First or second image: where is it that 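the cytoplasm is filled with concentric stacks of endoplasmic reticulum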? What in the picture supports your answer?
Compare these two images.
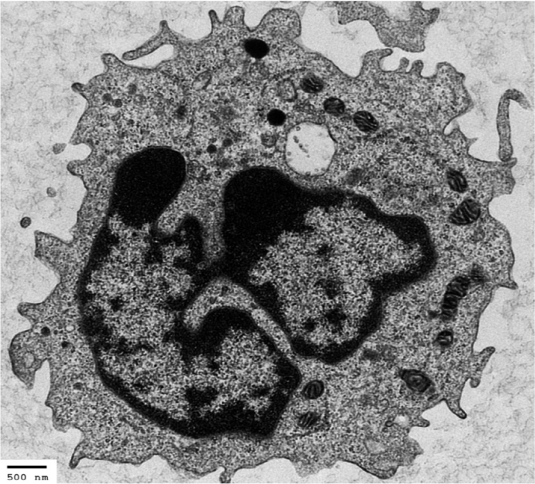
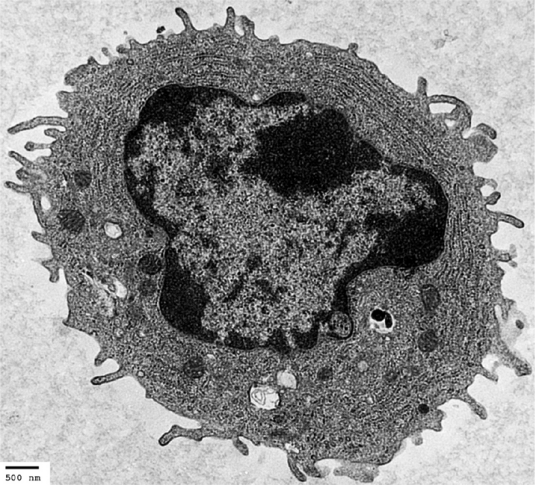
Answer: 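First image: cytoplasm granular with scattered mitochondria and no membrane stacks. Second image: many parallel membrane lamellae encircle the nucleus throughout the cytoplasm. On this evidence: the second image.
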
